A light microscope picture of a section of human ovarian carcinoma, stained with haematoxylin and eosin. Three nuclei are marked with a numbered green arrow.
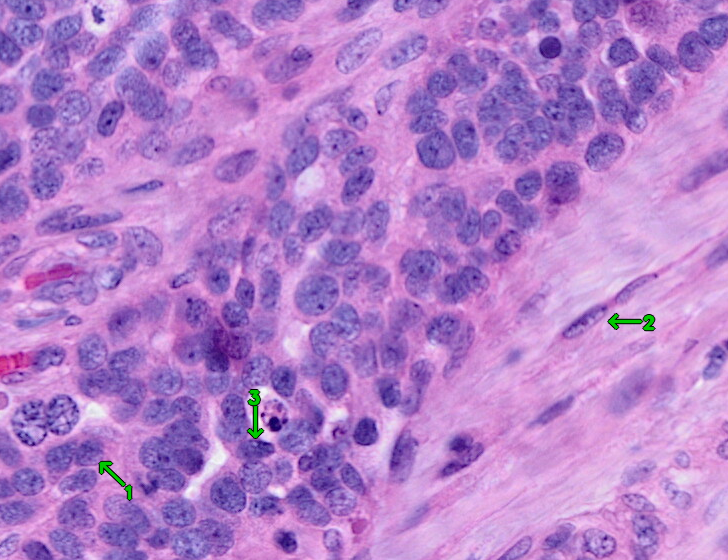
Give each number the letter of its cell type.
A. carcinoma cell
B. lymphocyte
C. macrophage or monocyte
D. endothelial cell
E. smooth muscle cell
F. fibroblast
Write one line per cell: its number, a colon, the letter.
1: A
2: F
3: A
